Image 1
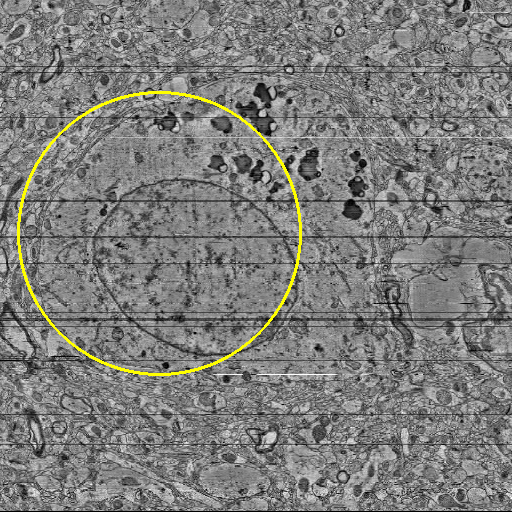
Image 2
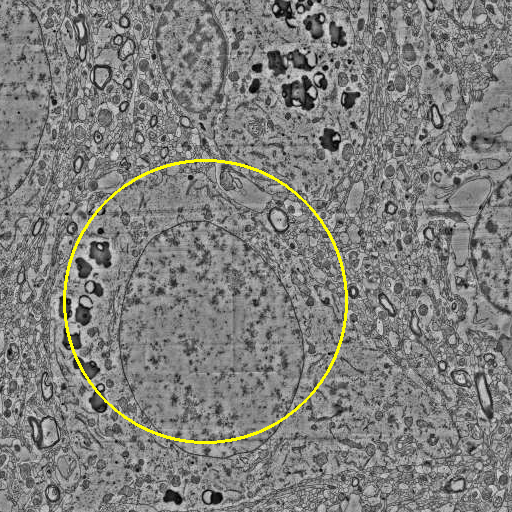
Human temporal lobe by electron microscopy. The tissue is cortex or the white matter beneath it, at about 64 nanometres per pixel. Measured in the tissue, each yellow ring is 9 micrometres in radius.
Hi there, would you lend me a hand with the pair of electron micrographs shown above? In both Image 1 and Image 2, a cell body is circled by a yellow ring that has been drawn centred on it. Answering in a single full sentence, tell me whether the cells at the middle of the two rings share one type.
Yes, the ringed cells in Image 1 and Image 2 share one type.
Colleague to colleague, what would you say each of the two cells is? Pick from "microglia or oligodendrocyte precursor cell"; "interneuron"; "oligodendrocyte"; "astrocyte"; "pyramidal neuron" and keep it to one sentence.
Both rings mark a pyramidal neuron, one in each picture.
